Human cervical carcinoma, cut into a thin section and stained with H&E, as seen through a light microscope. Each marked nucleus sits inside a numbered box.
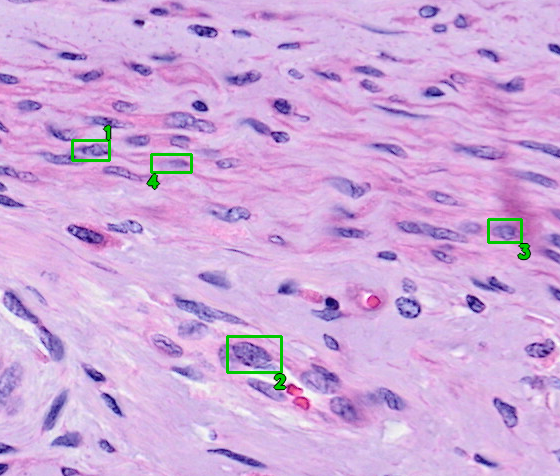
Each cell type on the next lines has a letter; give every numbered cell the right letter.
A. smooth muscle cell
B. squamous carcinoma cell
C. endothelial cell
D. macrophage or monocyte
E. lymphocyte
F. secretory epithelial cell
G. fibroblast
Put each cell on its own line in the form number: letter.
1: A
2: C
3: A
4: A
